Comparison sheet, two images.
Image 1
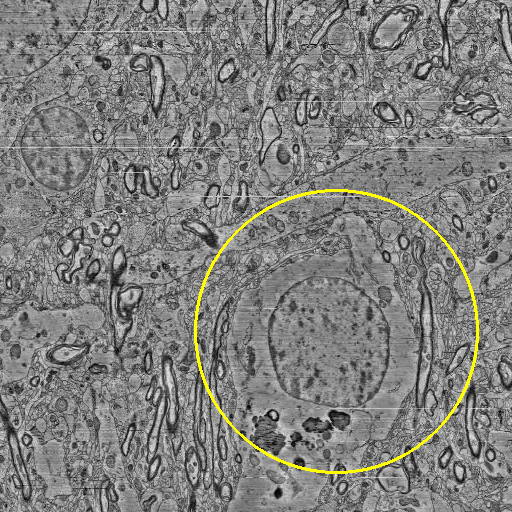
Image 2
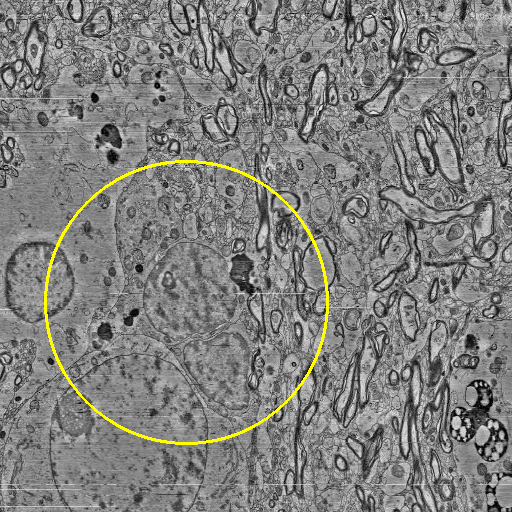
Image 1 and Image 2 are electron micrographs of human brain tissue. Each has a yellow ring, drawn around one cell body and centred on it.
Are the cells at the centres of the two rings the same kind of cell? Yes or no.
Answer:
no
